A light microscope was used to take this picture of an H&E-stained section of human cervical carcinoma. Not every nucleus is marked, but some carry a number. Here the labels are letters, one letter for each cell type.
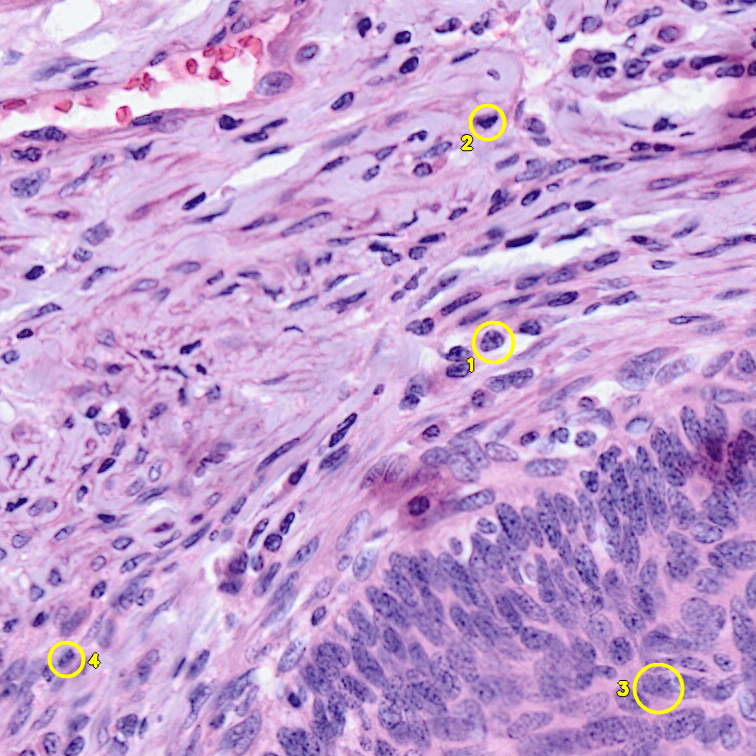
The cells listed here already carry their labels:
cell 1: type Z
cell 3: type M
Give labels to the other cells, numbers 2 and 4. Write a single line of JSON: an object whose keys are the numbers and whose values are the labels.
{"2": "type Z", "4": "type Z"}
